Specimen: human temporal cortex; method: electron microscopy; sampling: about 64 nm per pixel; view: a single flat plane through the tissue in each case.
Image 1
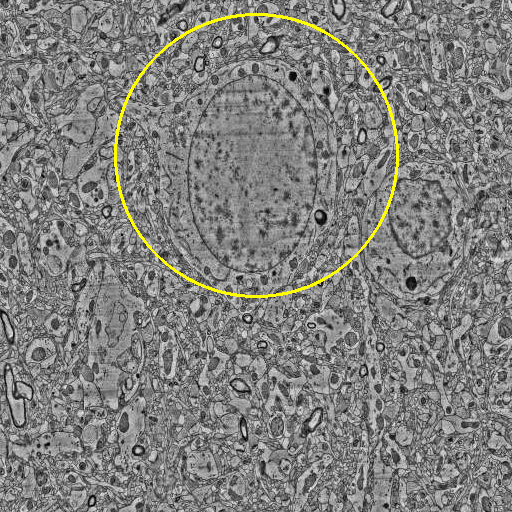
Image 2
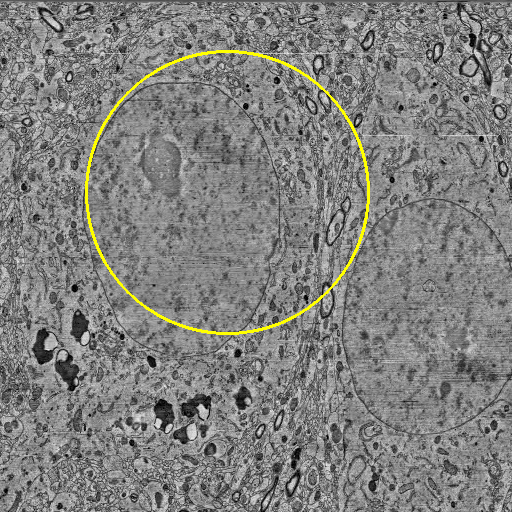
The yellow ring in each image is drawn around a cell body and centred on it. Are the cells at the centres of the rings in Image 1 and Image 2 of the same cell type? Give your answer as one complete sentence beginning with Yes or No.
Yes, both cells are of the same type.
